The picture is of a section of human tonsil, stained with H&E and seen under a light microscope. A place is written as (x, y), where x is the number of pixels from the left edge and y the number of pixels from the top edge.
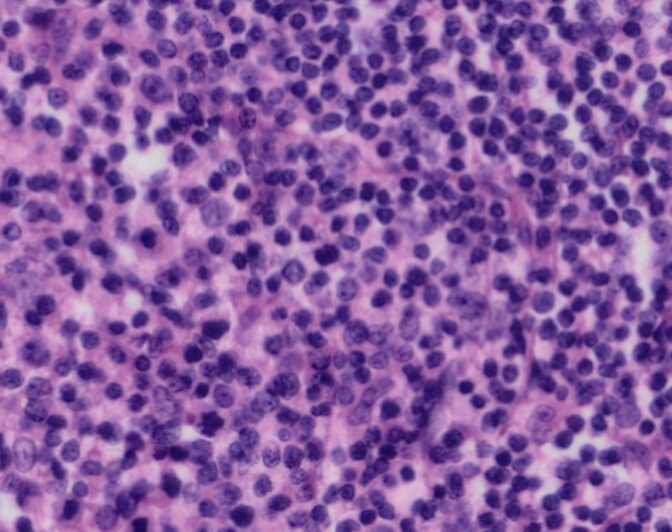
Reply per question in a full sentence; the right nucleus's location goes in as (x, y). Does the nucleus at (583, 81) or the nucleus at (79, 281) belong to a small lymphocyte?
Of the two nuclei, it is the one at (583, 81) that lies within a small lymphocyte.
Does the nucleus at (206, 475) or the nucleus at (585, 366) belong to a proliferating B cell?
The nucleus at (206, 475) is contained in a proliferating B cell.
